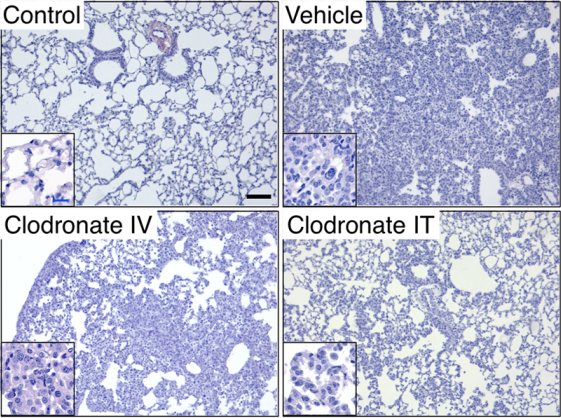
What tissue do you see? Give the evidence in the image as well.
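Thin-walled air spaces separated by delicate septa make up the tissue in the upper left image. Airways lined by epithelium with an adjacent blood vessel are present in the upper left image. That points to this answer: lungs.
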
